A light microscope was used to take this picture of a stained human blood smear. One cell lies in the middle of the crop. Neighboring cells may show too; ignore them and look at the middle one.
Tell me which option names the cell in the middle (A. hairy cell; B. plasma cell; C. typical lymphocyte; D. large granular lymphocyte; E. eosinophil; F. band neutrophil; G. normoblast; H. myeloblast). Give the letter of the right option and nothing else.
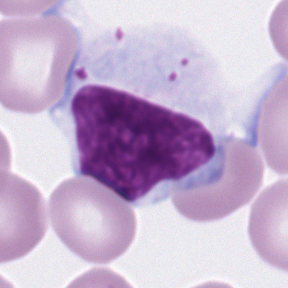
D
